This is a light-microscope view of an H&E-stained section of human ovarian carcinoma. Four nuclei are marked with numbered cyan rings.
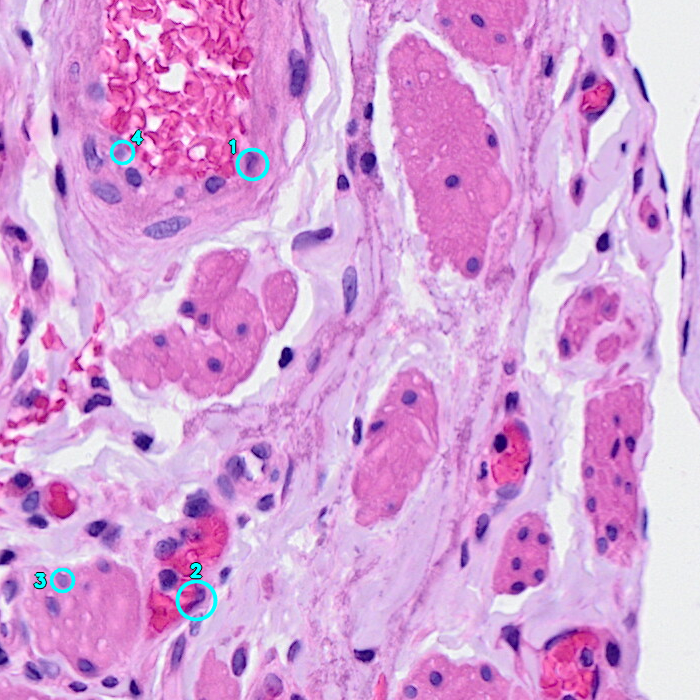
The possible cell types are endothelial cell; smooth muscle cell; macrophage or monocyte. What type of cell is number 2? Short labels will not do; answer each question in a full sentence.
The expected answer is that cell 2 is an endothelial cell.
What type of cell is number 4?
In this section, the cell tagged 4 is an endothelial cell.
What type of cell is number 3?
The cell assigned the number 3 is a smooth muscle cell.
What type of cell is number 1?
The one numbered 1 among the marked cells is an endothelial cell.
